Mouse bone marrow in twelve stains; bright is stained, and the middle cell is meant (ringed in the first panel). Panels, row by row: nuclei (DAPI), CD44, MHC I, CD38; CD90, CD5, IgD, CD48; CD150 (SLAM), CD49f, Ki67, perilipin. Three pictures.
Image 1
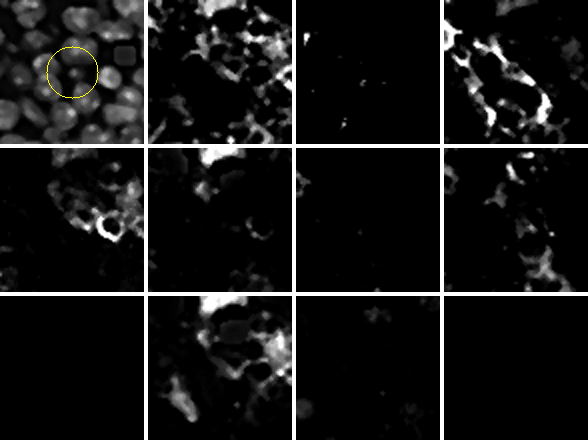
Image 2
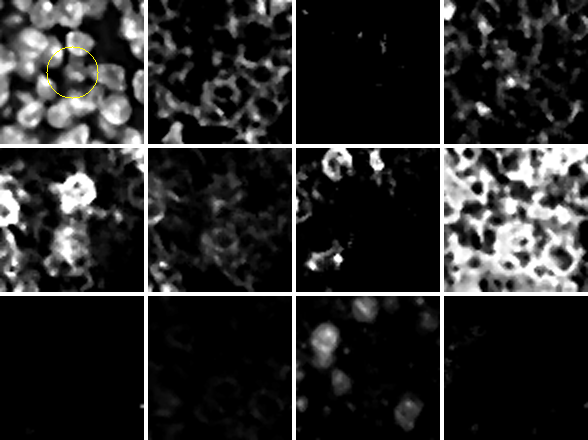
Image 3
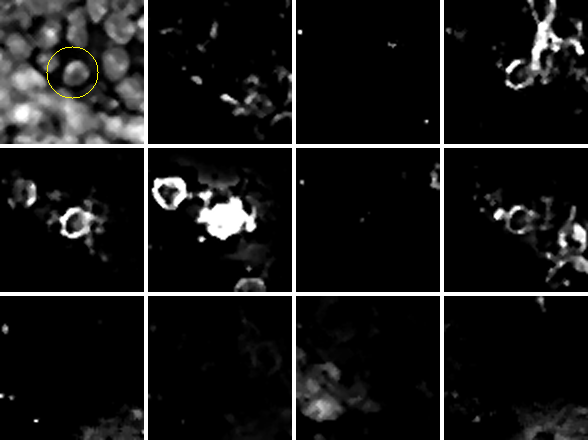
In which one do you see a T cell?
In picture 3.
